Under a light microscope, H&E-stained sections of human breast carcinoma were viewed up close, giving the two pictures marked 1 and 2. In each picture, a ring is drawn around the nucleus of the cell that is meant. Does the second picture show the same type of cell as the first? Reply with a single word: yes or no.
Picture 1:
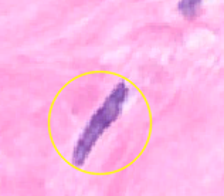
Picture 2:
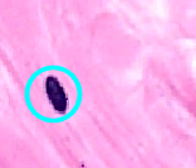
no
